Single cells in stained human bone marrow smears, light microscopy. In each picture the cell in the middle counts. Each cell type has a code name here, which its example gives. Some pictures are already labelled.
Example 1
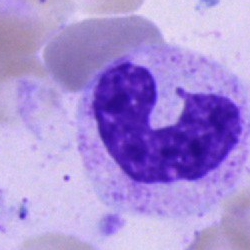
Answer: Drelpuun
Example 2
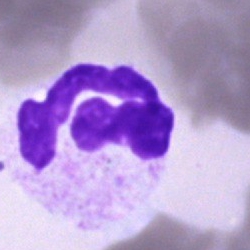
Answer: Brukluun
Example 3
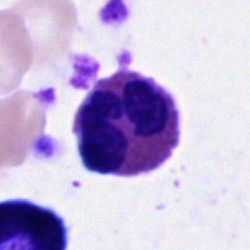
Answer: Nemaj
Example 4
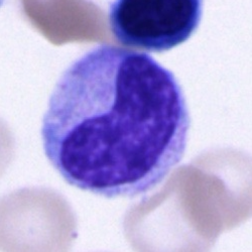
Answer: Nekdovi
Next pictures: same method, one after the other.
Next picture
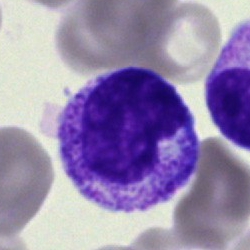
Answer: Nekdovi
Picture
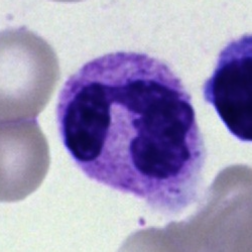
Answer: Brukluun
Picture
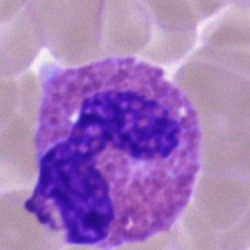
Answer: Nemaj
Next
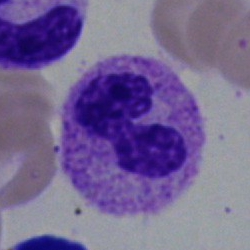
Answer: Brukluun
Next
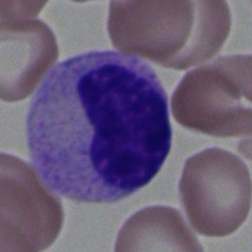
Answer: Nekdovi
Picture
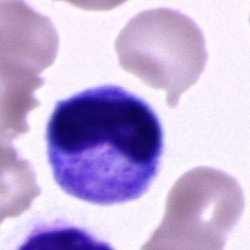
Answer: Nekdovi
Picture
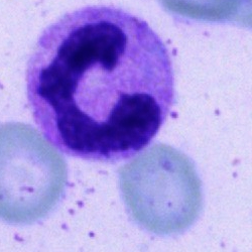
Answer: Brukluun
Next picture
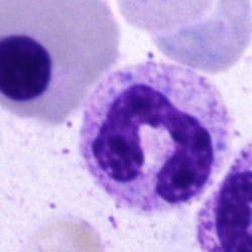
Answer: Drelpuun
